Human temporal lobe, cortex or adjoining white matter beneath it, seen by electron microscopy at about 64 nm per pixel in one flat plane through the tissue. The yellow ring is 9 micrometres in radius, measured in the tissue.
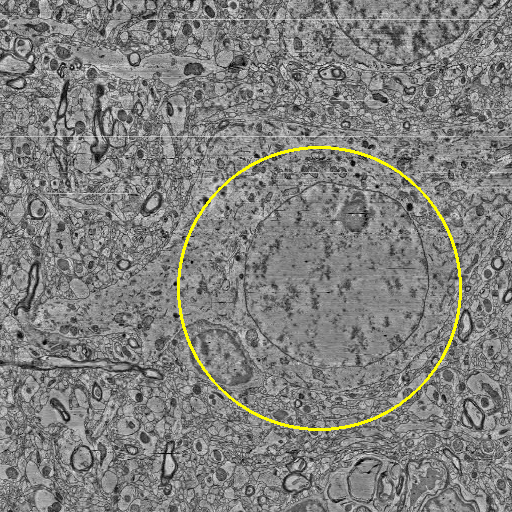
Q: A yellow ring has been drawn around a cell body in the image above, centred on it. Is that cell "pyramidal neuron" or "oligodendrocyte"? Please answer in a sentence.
The ring surrounds the cell body of a pyramidal neuron.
